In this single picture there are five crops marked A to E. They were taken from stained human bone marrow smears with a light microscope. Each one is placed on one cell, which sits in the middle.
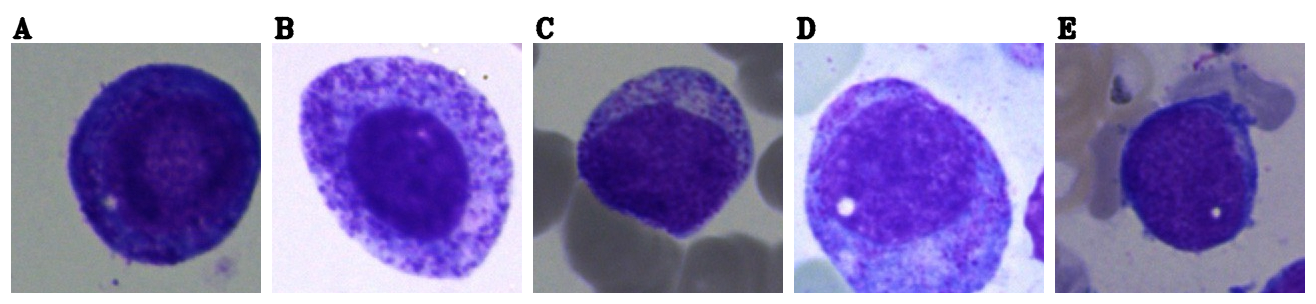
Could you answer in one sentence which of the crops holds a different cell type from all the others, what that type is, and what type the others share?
Crop E is a blast, while the rest of the set consists of promyelocytes.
